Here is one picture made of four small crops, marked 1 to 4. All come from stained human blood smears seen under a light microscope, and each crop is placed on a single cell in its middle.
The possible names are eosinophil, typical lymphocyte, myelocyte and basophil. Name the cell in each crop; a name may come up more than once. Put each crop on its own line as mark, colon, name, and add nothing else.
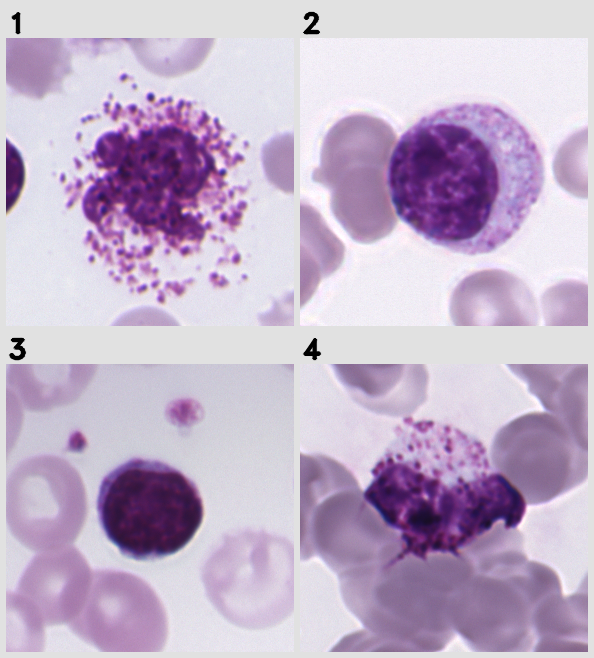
1: basophil
2: myelocyte
3: typical lymphocyte
4: basophil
